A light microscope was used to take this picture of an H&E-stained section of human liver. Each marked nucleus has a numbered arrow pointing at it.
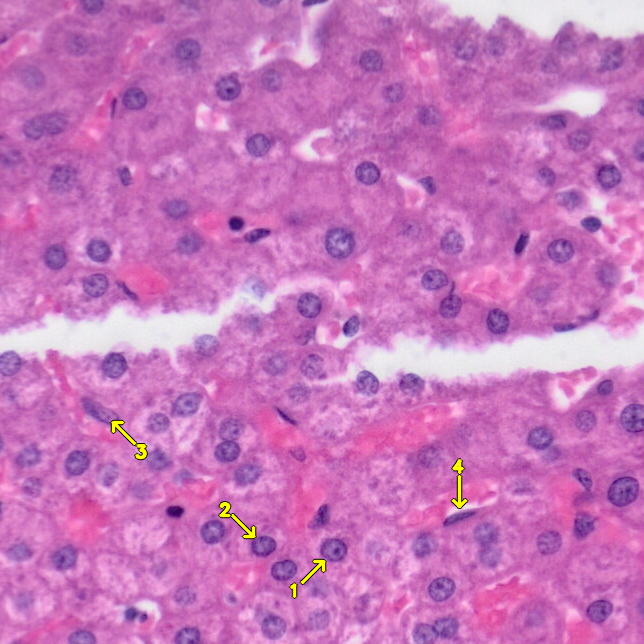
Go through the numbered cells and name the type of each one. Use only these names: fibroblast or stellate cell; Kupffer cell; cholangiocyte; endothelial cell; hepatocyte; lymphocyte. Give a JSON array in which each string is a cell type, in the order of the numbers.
["hepatocyte", "hepatocyte", "Kupffer cell", "endothelial cell"]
